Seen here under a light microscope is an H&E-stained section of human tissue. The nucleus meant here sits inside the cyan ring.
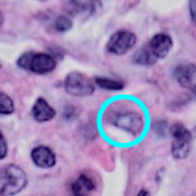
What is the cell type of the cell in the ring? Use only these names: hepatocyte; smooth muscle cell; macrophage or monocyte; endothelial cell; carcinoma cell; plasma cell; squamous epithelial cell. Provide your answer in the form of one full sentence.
What the cell in the ring represents is an endothelial cell.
